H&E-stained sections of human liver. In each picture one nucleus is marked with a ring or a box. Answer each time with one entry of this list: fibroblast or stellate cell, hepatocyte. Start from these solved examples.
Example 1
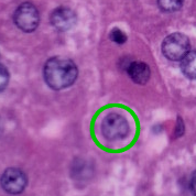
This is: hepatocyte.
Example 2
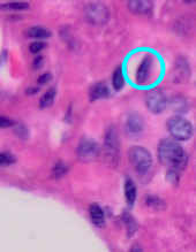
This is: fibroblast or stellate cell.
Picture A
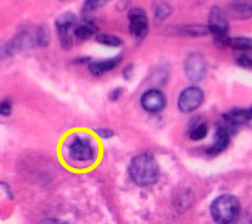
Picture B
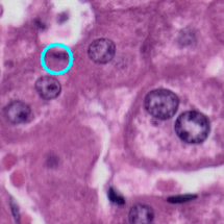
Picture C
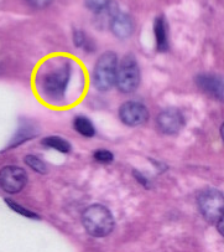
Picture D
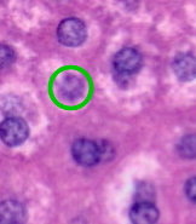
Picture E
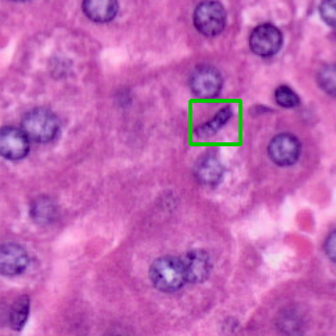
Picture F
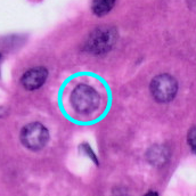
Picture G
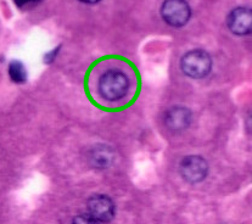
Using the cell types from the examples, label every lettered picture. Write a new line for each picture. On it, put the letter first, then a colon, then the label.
A: fibroblast or stellate cell.
B: fibroblast or stellate cell.
C: fibroblast or stellate cell.
D: hepatocyte.
E: fibroblast or stellate cell.
F: hepatocyte.
G: hepatocyte.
